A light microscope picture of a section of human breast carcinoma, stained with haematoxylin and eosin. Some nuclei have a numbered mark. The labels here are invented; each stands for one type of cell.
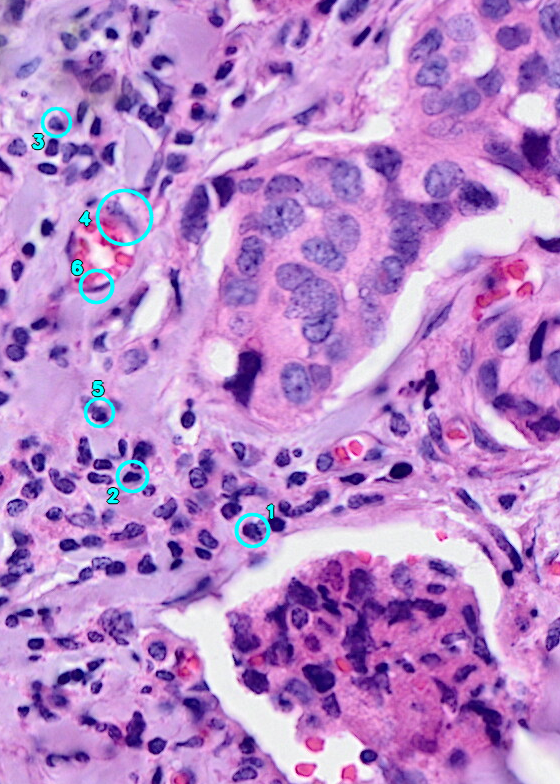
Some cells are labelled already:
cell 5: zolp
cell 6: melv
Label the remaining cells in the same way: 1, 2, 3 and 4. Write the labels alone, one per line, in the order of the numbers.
zolp
zolp
zolp
melv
